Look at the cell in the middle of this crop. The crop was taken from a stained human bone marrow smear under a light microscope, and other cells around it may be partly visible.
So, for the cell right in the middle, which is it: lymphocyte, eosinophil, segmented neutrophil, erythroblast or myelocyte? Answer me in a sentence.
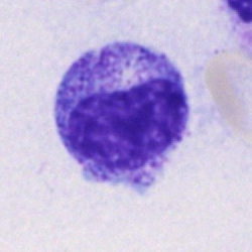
The cell occupying the middle of the crop is a myelocyte.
